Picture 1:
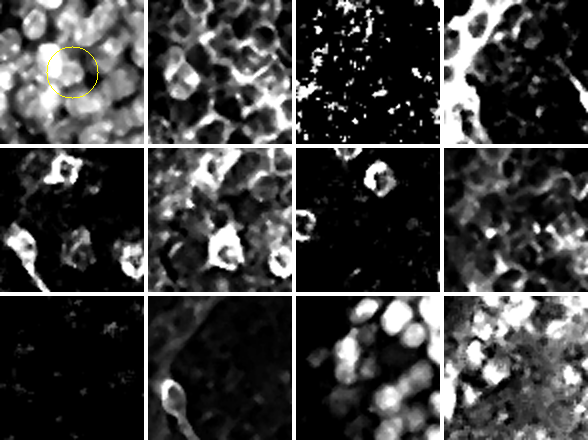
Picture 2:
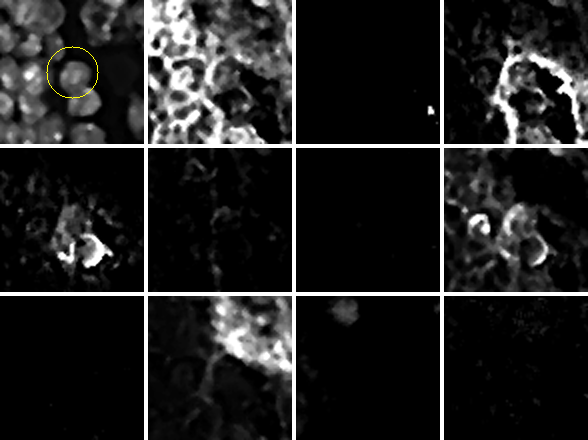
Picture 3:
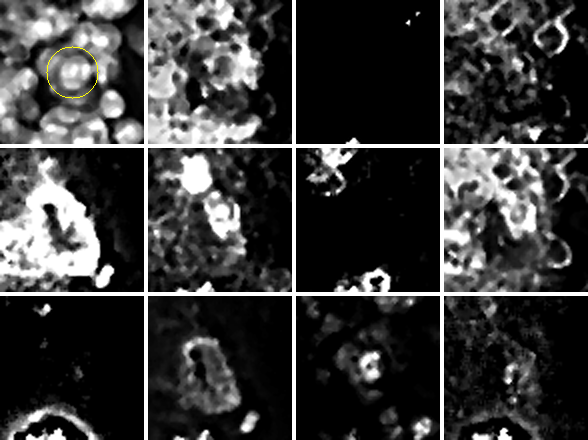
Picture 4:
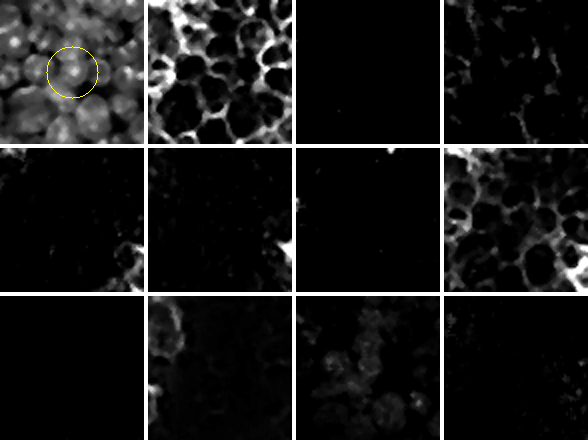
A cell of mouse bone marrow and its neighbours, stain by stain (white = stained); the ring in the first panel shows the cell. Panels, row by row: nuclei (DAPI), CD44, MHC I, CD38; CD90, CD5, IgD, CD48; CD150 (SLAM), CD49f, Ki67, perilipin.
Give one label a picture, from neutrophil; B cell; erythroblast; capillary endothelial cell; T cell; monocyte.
Picture 1: B cell
Picture 2: capillary endothelial cell
Picture 3: T cell
Picture 4: erythroblast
